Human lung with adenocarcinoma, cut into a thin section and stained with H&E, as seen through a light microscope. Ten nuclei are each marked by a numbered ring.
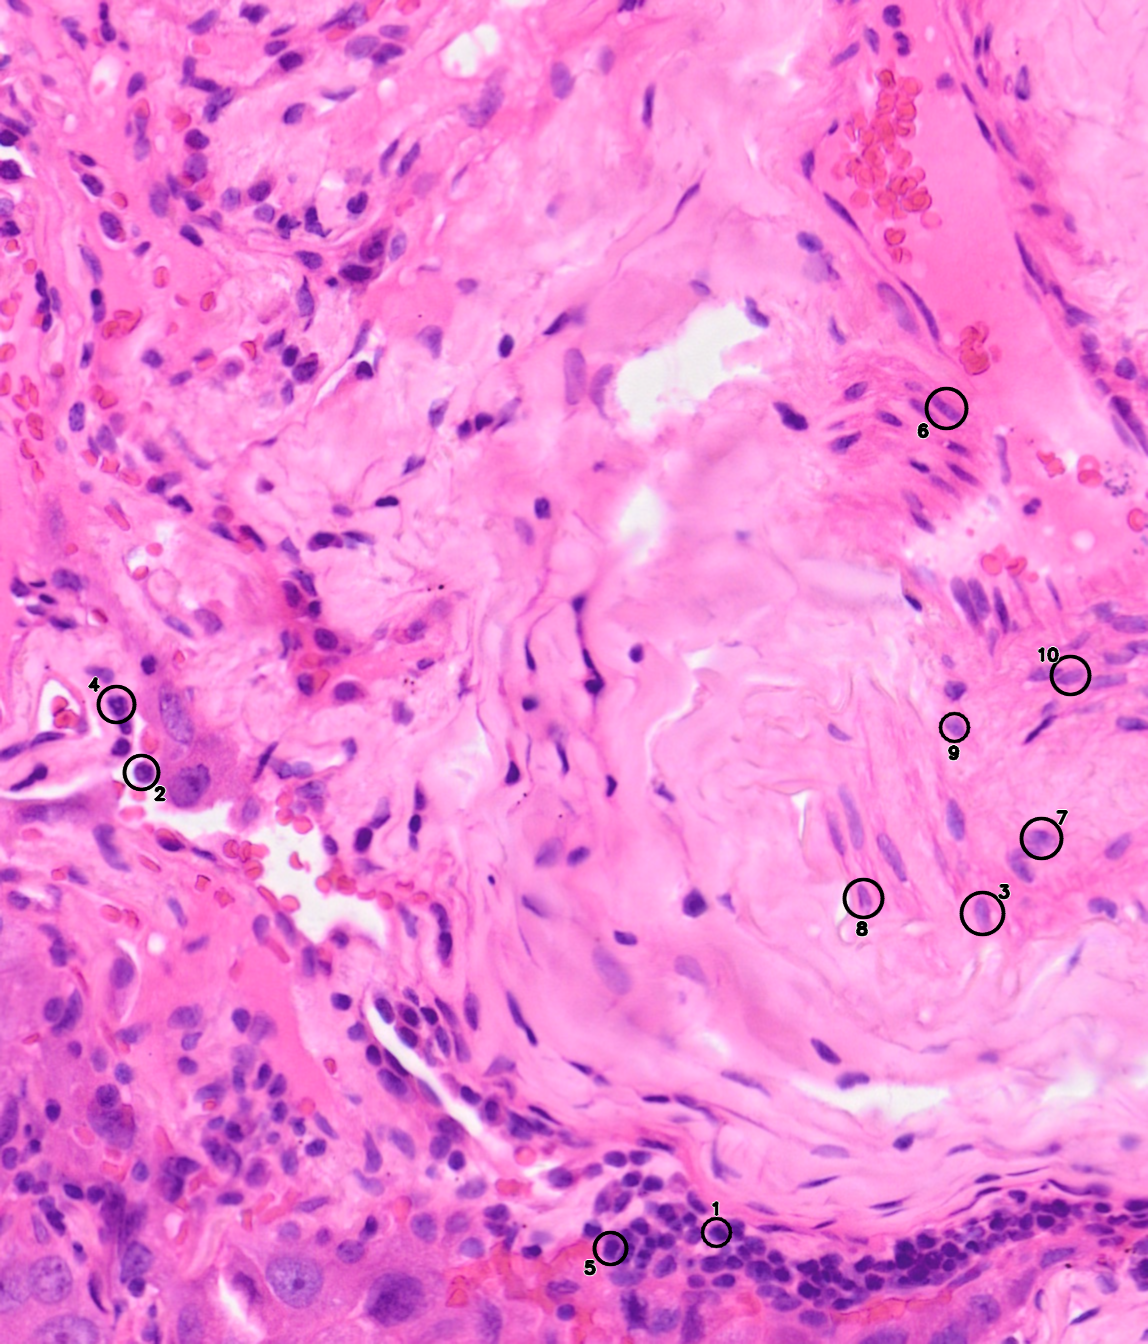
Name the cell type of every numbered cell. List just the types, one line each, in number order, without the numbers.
lymphocyte
lymphocyte
smooth muscle cell or pericyte
lymphocyte
lymphocyte
smooth muscle cell or pericyte
smooth muscle cell or pericyte
smooth muscle cell or pericyte
smooth muscle cell or pericyte
smooth muscle cell or pericyte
